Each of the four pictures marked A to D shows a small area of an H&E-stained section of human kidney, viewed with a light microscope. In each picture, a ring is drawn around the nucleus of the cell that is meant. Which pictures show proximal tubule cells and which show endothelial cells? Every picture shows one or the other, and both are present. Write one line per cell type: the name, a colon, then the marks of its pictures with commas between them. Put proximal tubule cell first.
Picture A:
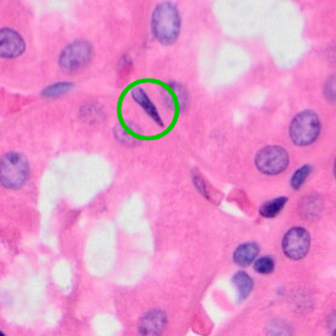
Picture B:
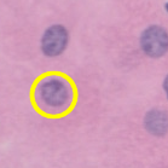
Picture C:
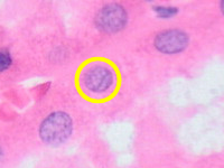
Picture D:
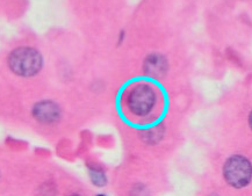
proximal tubule cell: B, C, D
endothelial cell: A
